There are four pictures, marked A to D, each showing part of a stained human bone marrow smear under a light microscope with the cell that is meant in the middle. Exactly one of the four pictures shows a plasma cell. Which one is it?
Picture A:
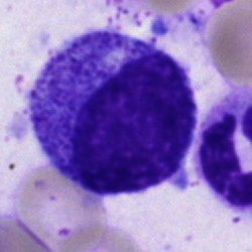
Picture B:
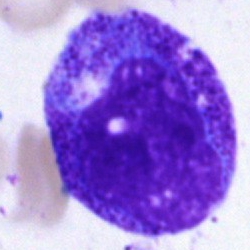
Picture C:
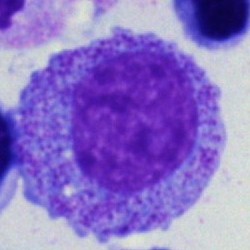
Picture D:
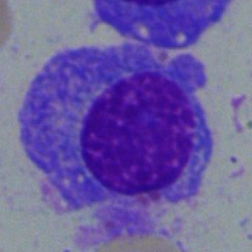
D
